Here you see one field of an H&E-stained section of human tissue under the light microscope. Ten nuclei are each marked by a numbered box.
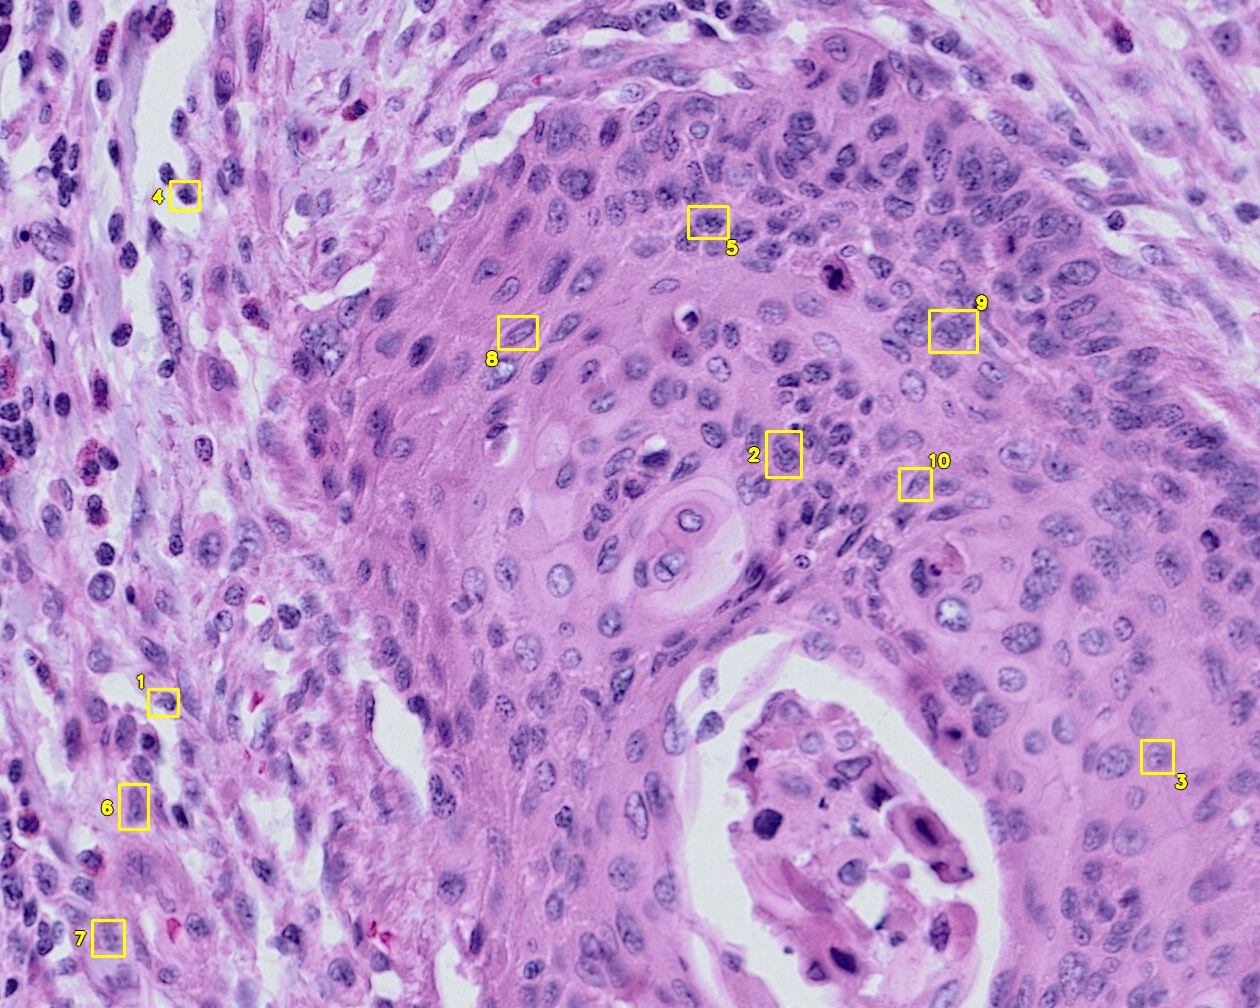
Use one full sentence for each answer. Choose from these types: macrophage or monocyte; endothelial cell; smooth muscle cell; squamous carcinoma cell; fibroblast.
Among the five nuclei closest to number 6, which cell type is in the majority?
Fibroblasts make up most of the five nuclei closest to number 6.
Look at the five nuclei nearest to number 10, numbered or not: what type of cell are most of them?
Around number 10, most of the five nearest nuclei are those of squamous carcinoma cells.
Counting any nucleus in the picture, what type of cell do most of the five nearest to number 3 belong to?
Squamous carcinoma cells account for more than half of the five nuclei nearest to number 3.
